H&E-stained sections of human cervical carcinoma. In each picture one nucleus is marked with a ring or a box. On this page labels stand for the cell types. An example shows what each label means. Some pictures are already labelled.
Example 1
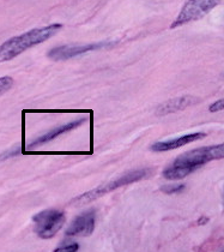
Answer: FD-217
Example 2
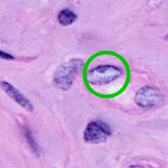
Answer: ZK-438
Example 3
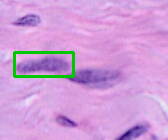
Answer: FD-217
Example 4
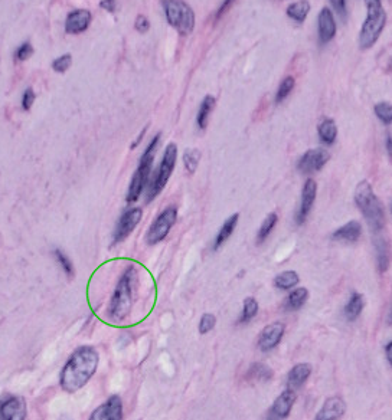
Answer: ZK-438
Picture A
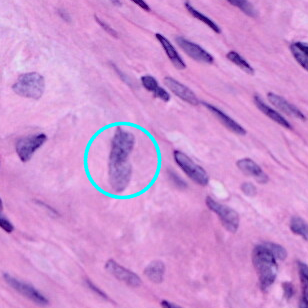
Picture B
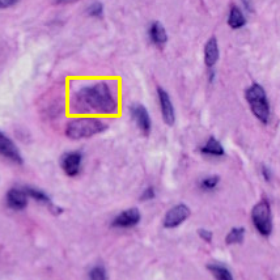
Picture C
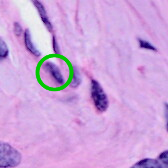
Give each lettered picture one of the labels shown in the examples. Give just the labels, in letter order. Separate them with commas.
FD-217, ZK-438, ZK-438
